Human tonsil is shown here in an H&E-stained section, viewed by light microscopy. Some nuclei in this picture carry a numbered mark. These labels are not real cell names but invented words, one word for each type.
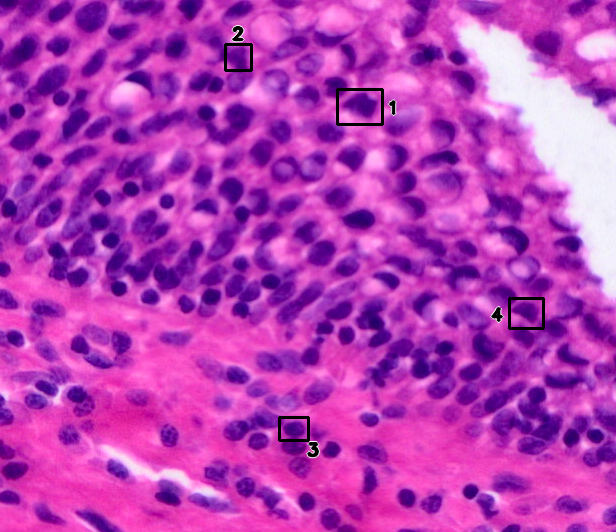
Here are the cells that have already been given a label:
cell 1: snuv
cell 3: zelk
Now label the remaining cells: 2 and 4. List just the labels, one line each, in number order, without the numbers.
snuv
snuv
